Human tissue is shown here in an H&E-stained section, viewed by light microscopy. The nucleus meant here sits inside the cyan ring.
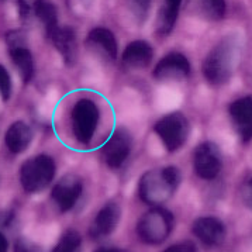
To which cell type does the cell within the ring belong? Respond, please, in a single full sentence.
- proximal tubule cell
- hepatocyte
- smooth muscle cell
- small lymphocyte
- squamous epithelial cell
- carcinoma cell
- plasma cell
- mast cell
Considered by cell type, the cell within the ring is a squamous epithelial cell.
